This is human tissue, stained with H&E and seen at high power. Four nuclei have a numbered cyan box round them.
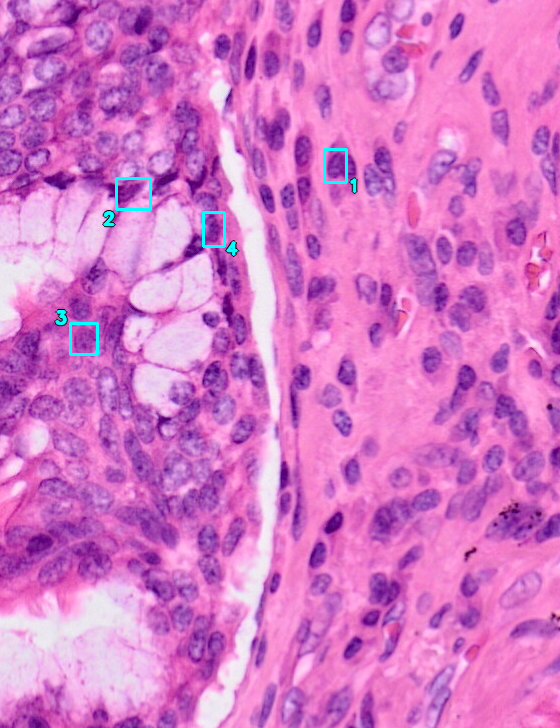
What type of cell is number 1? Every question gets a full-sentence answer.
The numbered cell 1 in this field is a plasma cell.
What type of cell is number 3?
The cell referenced by the number 3 is a ciliated epithelial cell in this field.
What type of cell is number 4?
The cell identified by the number 4 is a ciliated epithelial cell.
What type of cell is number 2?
The cell numbered 2 has been identified as a ciliated epithelial cell.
